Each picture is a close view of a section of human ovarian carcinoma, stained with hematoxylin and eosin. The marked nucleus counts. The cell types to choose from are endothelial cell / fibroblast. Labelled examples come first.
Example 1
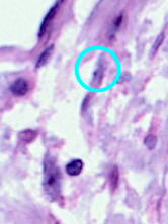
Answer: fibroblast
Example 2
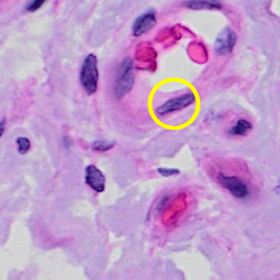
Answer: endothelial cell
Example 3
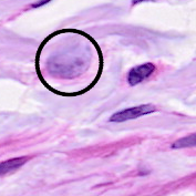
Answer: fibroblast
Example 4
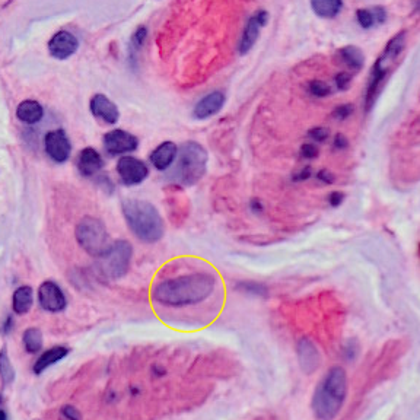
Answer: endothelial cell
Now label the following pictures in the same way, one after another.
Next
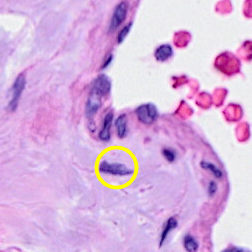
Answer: fibroblast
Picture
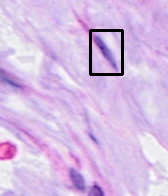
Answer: fibroblast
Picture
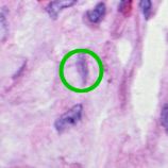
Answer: fibroblast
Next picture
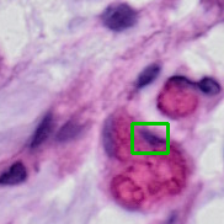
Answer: endothelial cell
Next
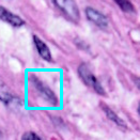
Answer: fibroblast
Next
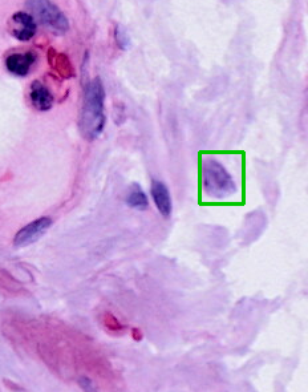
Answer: fibroblast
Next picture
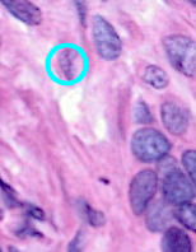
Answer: fibroblast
